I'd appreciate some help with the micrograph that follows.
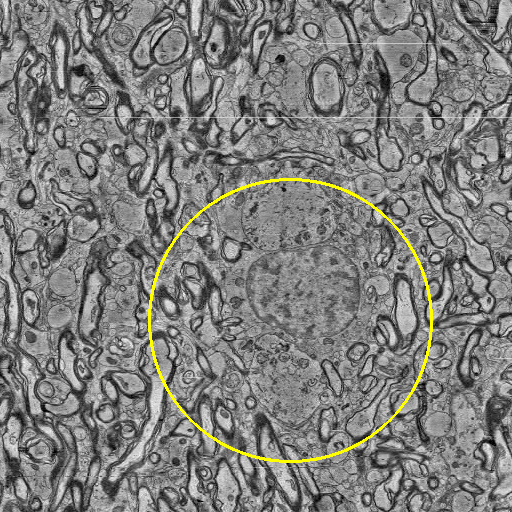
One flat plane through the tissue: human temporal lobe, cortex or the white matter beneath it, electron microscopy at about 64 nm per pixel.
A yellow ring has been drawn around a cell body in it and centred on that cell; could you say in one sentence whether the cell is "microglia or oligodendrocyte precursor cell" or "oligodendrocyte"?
It is an oligodendrocyte at the centre of the ring.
